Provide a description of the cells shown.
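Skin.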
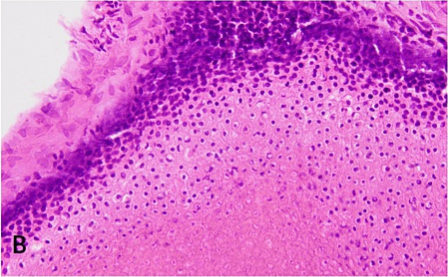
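Dermal tumor composed of round blue cells transitioning into ghost cells. Along the upper border lies a band several cells thick of small cells with dark, crowded, round nuclei and scant cytoplasm. A thin rim of loose pink stroma with elongated cells borders the blue-cell layer at the top left.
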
